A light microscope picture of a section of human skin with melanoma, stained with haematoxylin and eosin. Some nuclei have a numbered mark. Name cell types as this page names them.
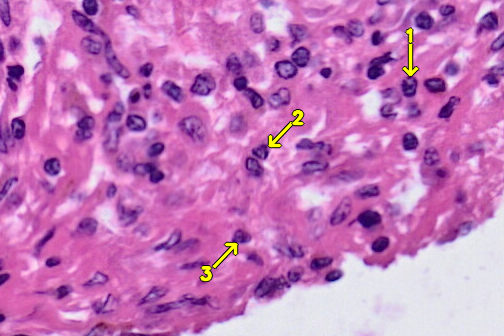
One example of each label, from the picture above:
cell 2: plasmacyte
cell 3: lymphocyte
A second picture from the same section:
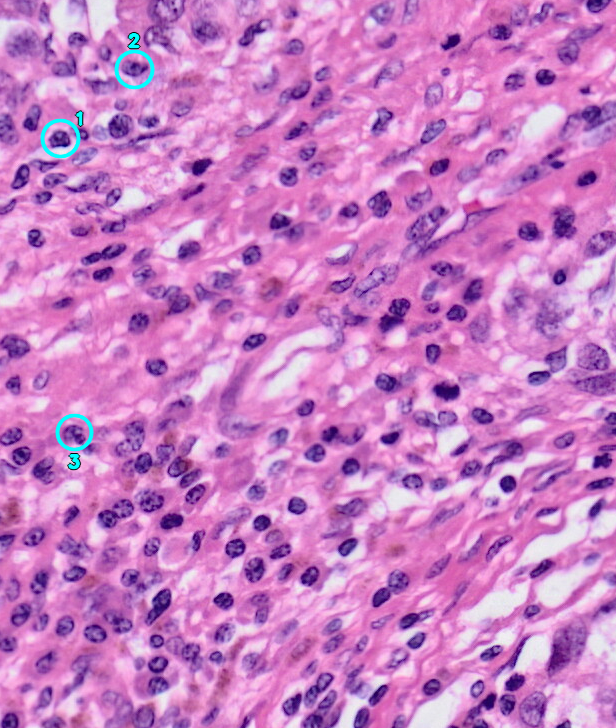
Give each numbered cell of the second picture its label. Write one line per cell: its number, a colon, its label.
1: lymphocyte
2: lymphocyte
3: plasmacyte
